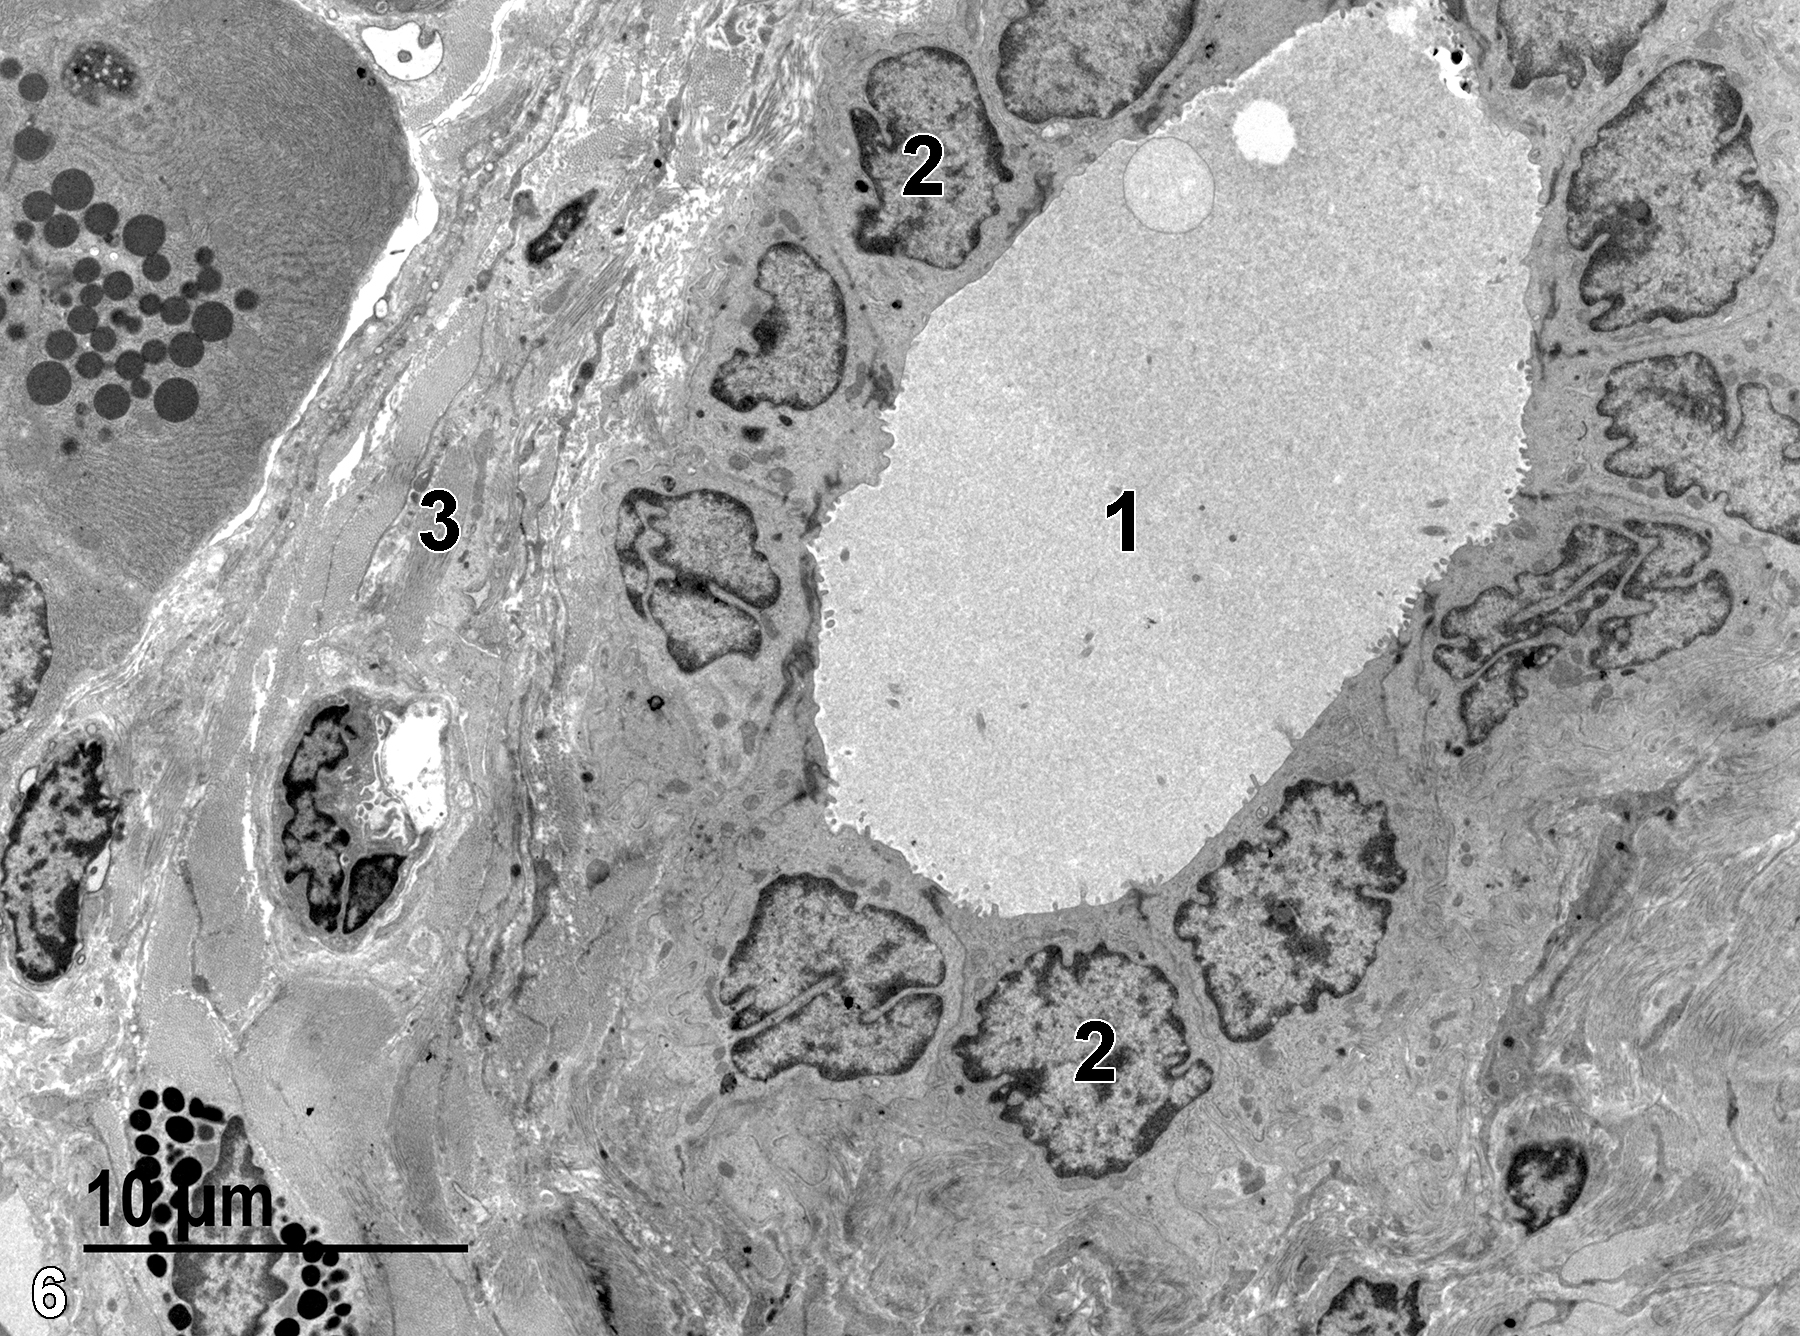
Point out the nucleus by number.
2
